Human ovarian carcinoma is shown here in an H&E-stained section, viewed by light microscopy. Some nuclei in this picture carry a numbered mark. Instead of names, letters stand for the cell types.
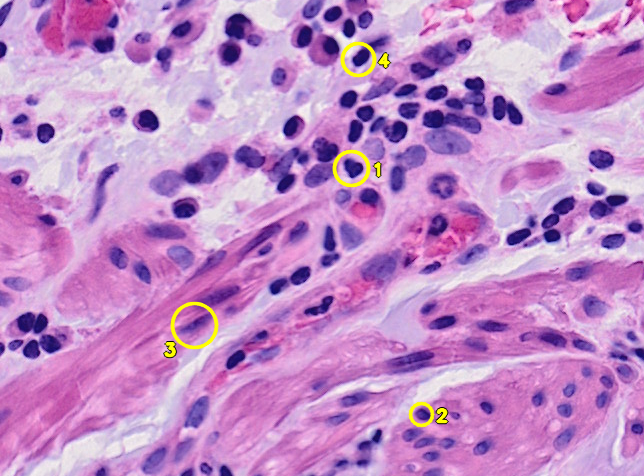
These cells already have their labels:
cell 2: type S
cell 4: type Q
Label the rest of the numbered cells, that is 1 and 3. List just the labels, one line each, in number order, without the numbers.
type Q
type S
